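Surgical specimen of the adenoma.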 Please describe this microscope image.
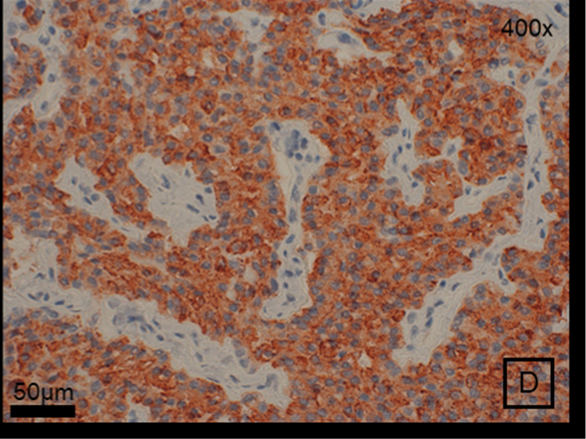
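Between the cords run narrow channels of pale grey-blue stroma. The stroma holds a few elongated, unstained cells with blue nuclei. Within the tumour cells, the round blue nuclei show through the brown cytoplasm. Staining is diffuse and fairly even across nearly all the epithelial cells. The stroma stays unstained, so the brown epithelial cords stand out sharply against the pale strands between them.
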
